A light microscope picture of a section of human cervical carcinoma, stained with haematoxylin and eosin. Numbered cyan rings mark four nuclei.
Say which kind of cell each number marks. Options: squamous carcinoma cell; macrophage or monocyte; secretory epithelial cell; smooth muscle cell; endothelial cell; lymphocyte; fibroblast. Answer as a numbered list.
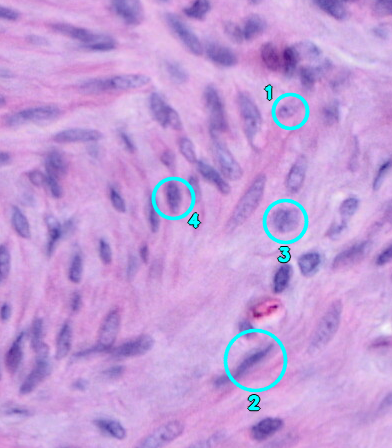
1. smooth muscle cell
2. smooth muscle cell
3. fibroblast
4. smooth muscle cell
